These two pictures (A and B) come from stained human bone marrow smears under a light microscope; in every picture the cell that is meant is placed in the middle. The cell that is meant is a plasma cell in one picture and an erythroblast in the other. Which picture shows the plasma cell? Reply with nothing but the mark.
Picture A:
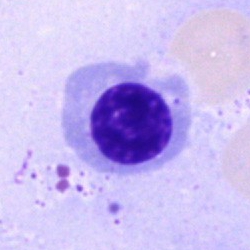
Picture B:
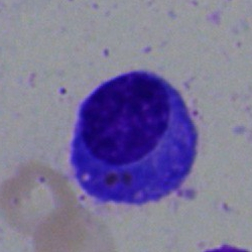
B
